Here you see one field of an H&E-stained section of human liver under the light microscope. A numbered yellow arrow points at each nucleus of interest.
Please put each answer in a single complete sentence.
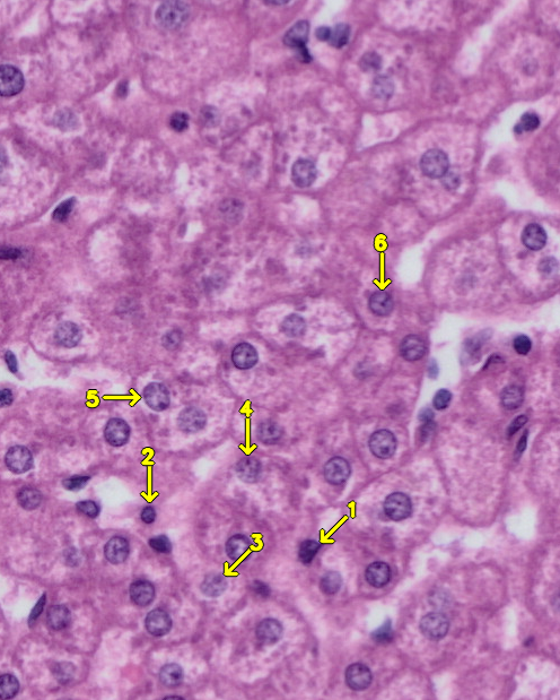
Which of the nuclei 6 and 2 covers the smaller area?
It is nucleus 2; nucleus 6 has about 2 times its area.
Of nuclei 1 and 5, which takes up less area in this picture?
It is nucleus 1; nucleus 5 has about 1.5 times its area.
